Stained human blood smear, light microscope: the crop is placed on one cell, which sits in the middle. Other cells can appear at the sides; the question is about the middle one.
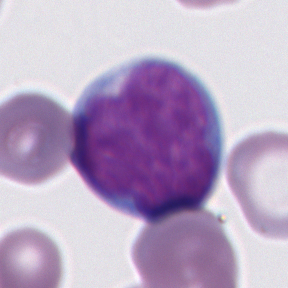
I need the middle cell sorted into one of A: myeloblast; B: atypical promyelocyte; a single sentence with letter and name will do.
The central cell in this crop is a myeloblast, corresponding to option A, the correct option.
